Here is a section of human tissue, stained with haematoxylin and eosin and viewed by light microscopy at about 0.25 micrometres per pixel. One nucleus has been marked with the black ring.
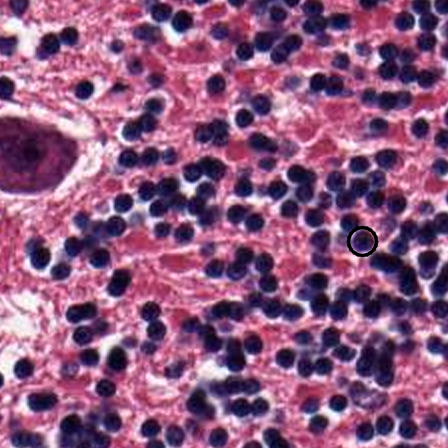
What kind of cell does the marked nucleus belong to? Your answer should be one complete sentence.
Within the picture, the marked nucleus belongs to a cerebellar granule cell.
